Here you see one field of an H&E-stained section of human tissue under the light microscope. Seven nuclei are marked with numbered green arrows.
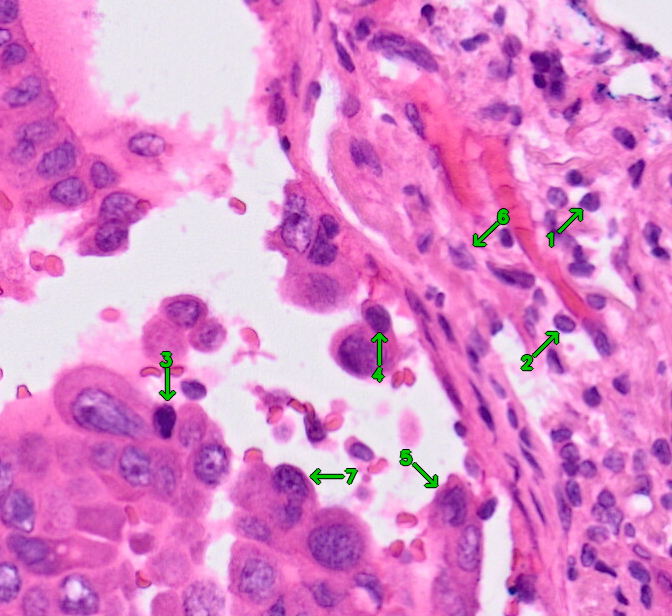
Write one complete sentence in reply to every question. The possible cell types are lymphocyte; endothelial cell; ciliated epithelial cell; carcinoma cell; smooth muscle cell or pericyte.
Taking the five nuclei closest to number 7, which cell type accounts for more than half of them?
The majority of the five nuclei closest to number 7 belong to carcinoma cells.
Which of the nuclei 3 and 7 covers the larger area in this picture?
Number 7 is larger; its area is about 1.5 times that of number 3.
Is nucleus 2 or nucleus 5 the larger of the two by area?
Nucleus 5 is larger, with an area about 4 times that of nucleus 2.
